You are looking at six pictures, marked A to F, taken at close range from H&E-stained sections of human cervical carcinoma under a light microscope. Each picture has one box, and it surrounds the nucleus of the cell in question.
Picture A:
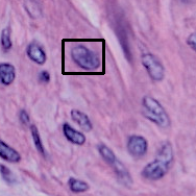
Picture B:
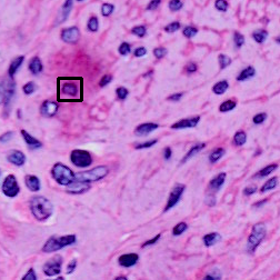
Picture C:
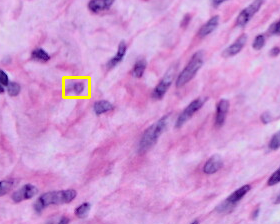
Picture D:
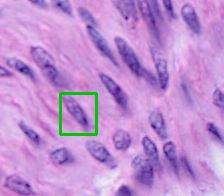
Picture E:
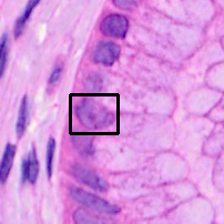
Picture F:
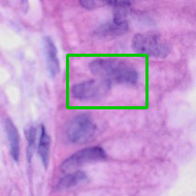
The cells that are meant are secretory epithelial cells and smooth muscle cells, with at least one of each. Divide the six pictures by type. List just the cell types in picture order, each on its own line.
smooth muscle cell
smooth muscle cell
smooth muscle cell
smooth muscle cell
secretory epithelial cell
secretory epithelial cell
